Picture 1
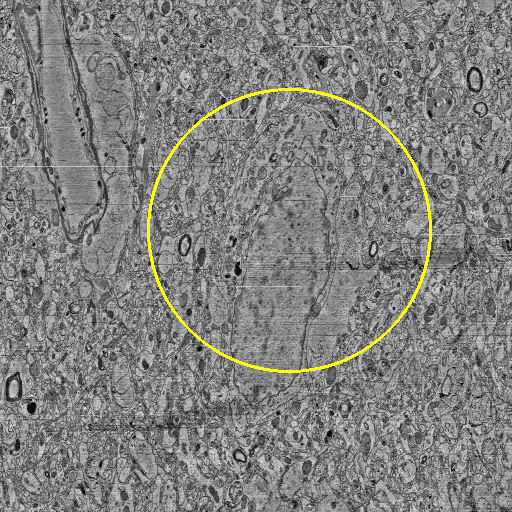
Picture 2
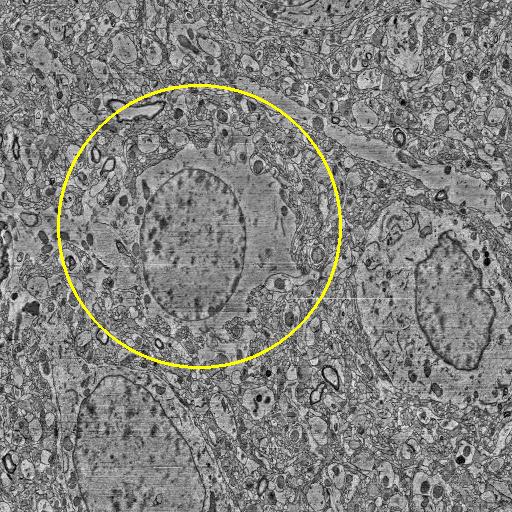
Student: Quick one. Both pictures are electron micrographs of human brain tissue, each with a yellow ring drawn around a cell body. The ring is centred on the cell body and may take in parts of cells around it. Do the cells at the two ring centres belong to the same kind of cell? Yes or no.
no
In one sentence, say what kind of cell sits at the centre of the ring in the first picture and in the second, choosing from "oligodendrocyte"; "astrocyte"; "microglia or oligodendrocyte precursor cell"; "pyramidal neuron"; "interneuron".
The first picture's ringed cell is an interneuron, while the second picture's is an astrocyte.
